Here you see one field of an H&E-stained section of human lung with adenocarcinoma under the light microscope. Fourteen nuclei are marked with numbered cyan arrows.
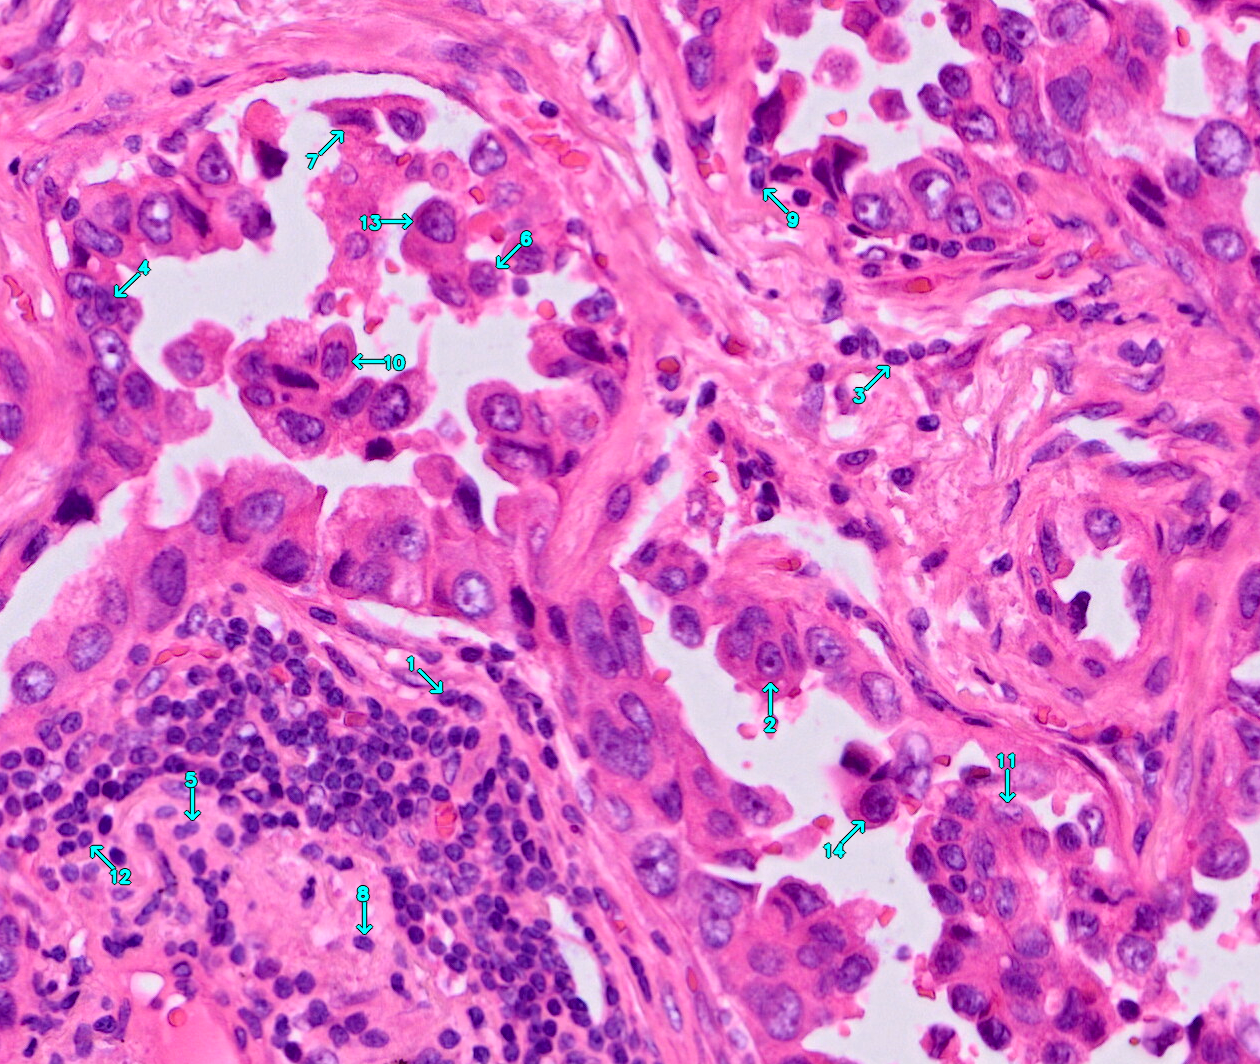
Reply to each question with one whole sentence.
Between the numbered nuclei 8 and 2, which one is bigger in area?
Number 2 is larger; its area is about 2.5 times that of number 8.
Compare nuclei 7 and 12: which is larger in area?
It is nucleus 7, which covers about 4 times the area of nucleus 12.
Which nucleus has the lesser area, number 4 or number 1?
Number 1 is smaller, since number 4 takes up about 2.5 times as much area.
